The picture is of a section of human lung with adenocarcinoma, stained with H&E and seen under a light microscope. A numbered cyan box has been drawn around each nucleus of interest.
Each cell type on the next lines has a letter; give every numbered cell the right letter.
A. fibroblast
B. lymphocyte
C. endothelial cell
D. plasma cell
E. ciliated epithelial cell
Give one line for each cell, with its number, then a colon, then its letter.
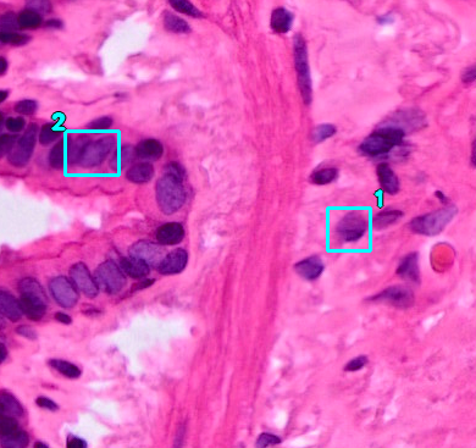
1: A
2: E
